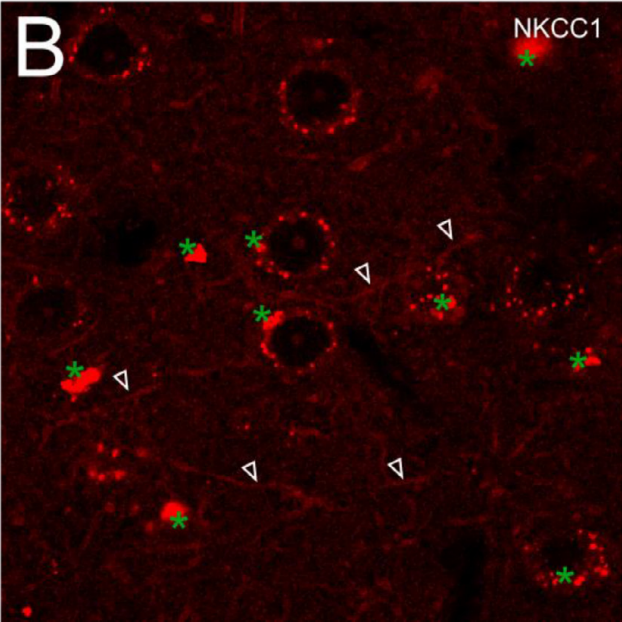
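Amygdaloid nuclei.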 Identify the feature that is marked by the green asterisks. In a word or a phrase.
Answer: Agglomerates of lipofuscin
